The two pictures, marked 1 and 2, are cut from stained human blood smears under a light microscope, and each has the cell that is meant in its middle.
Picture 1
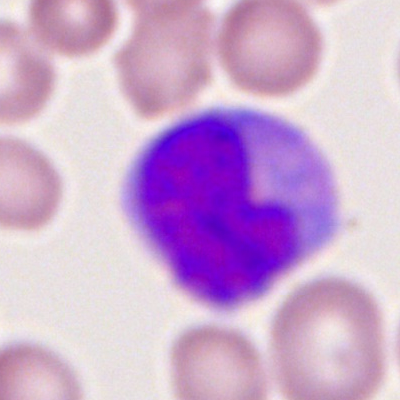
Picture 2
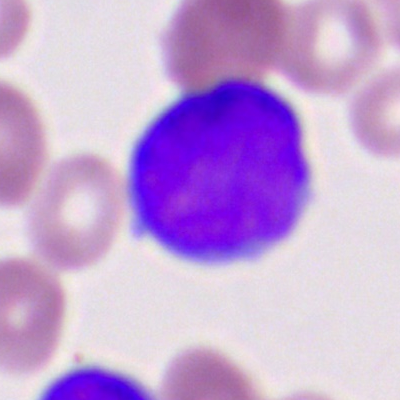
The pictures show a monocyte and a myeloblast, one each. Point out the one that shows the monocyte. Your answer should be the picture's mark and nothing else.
1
